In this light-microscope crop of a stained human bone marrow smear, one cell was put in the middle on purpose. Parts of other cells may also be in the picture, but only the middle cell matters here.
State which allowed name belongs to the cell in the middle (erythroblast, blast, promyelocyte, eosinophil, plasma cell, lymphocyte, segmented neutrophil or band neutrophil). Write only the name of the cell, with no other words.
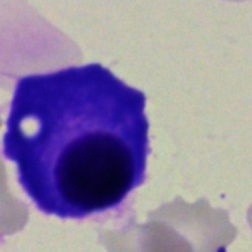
plasma cell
